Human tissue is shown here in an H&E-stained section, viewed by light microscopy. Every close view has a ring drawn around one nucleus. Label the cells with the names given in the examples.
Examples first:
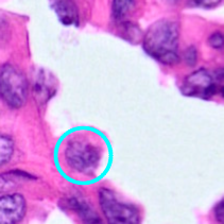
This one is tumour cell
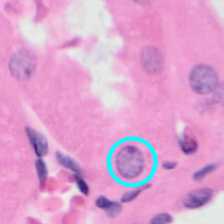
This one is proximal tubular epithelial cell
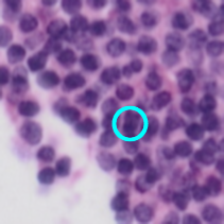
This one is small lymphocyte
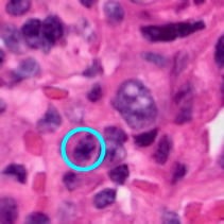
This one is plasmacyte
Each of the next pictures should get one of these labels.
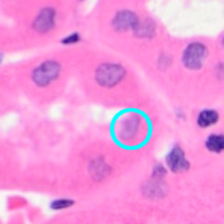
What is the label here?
proximal tubular epithelial cell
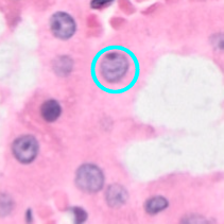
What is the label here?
proximal tubular epithelial cell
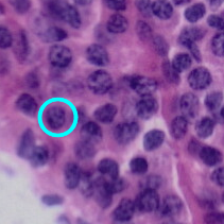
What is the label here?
plasmacyte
